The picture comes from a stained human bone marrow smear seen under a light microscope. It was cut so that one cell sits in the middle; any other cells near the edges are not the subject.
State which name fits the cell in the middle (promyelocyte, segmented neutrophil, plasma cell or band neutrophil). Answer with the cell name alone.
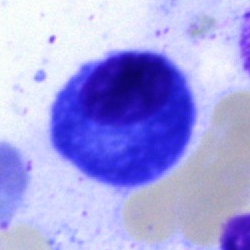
plasma cell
